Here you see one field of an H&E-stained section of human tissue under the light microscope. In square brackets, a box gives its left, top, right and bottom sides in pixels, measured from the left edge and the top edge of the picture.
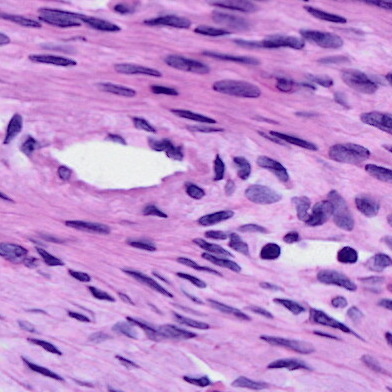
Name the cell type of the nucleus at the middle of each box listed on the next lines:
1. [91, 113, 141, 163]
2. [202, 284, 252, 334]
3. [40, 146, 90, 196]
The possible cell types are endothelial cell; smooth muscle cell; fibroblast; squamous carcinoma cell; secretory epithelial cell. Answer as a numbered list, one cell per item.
1. endothelial cell
2. fibroblast
3. endothelial cell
